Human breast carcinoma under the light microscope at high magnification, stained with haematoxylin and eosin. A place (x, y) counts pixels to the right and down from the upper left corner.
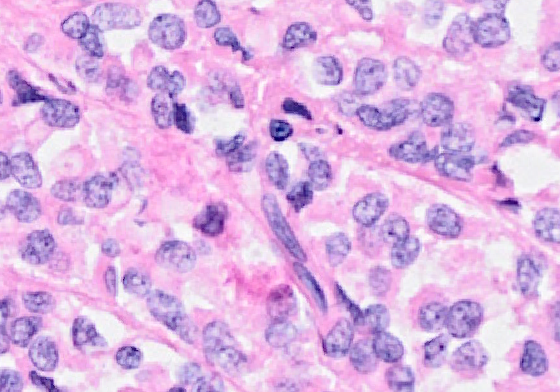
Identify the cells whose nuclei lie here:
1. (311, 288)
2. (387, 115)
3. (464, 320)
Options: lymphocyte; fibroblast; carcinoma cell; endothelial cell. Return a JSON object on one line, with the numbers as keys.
{"1": "endothelial cell", "2": "carcinoma cell", "3": "carcinoma cell"}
